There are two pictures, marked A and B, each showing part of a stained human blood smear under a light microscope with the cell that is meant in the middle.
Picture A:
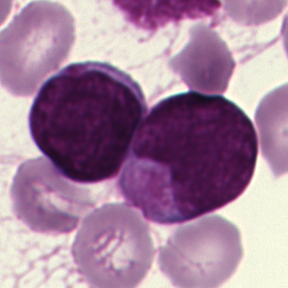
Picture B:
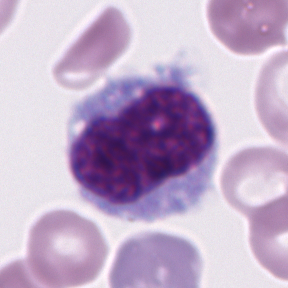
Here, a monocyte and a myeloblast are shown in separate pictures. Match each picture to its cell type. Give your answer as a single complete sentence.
Picture A is of a myeloblast, and picture B is of a monocyte.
